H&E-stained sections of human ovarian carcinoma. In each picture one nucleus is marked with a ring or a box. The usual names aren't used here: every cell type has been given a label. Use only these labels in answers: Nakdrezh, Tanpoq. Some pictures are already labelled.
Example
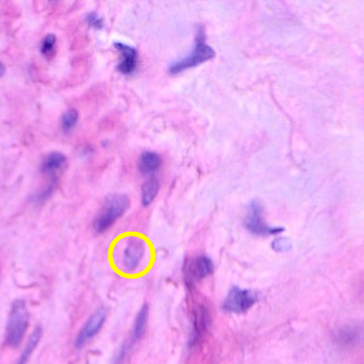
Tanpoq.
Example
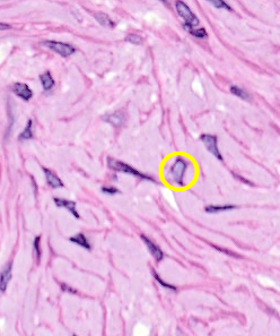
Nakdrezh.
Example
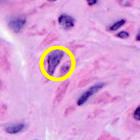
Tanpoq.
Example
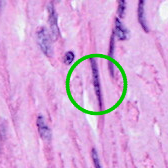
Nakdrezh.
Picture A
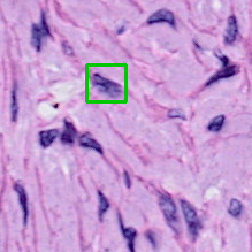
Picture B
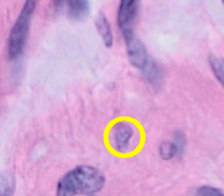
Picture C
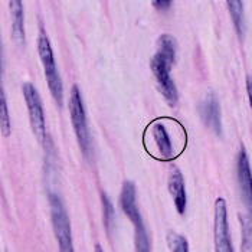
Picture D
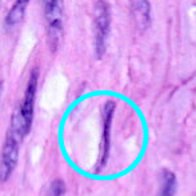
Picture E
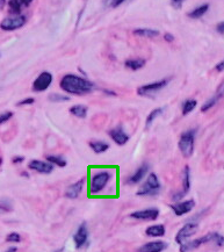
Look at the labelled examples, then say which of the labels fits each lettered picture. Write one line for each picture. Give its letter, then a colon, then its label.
A: Nakdrezh.
B: Tanpoq.
C: Tanpoq.
D: Nakdrezh.
E: Tanpoq.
